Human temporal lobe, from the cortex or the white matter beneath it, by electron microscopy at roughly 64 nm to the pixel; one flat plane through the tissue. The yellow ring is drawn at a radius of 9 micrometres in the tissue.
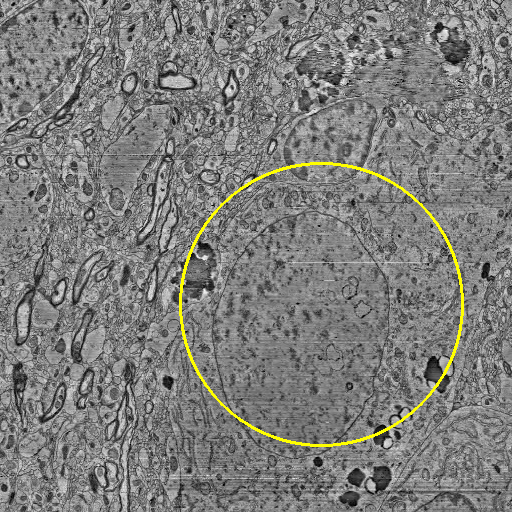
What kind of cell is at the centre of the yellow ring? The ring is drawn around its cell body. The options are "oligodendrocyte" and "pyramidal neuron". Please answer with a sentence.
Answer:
The yellow ring marks the cell body of a pyramidal neuron.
